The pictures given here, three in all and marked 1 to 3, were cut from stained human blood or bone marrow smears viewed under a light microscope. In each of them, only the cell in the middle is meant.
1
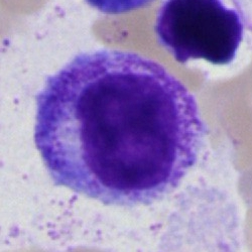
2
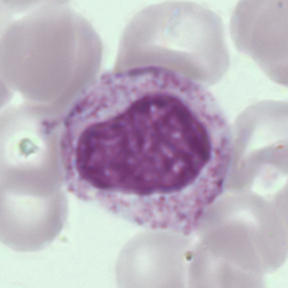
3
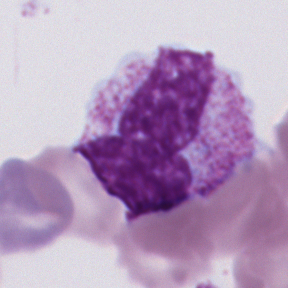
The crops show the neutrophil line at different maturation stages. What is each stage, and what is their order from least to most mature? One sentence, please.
Listed from least to most mature, the crops read crop 1 (a myelocyte), crop 2 (a metamyelocyte) and crop 3 (a band neutrophil).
